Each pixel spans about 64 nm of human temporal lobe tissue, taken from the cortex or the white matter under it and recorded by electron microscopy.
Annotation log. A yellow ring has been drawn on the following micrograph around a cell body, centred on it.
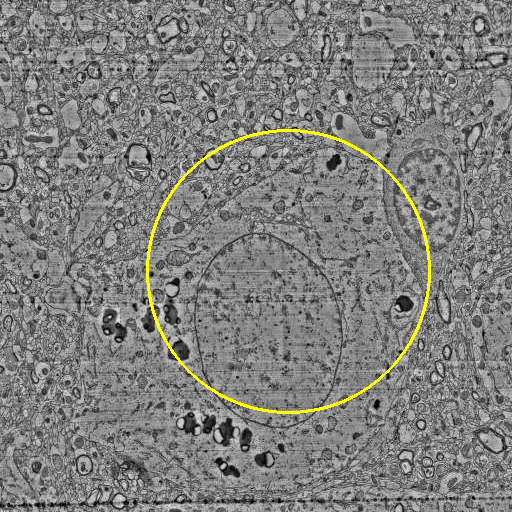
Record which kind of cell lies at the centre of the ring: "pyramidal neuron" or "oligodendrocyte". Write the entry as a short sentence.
The cell the ring is centred on is a pyramidal neuron.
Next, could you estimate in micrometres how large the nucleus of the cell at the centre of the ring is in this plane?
Approximately 13 x 9 micrometres in this plane.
